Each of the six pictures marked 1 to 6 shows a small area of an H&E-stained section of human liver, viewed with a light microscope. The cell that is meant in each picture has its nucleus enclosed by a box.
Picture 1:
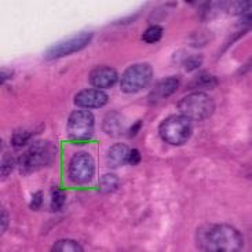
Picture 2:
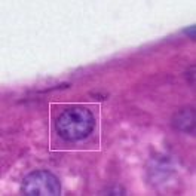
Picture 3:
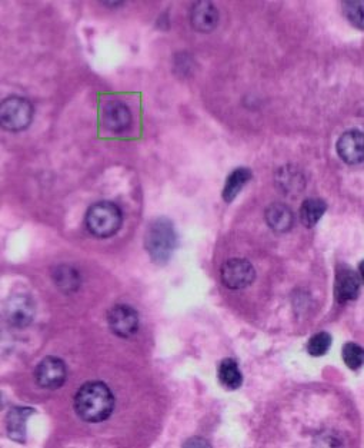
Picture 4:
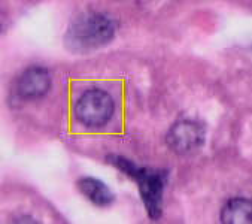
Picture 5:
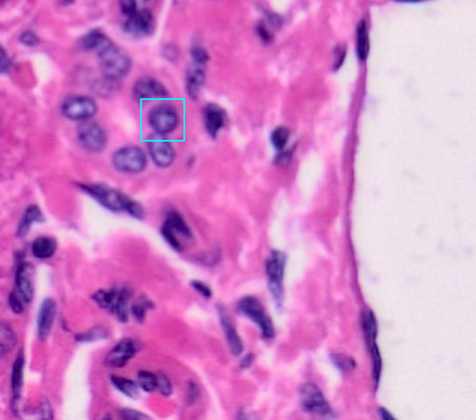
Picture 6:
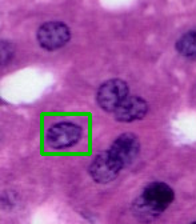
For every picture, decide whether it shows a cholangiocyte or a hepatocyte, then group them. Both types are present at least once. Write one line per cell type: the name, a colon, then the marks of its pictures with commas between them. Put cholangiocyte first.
cholangiocyte: 1, 5
hepatocyte: 2, 3, 4, 6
